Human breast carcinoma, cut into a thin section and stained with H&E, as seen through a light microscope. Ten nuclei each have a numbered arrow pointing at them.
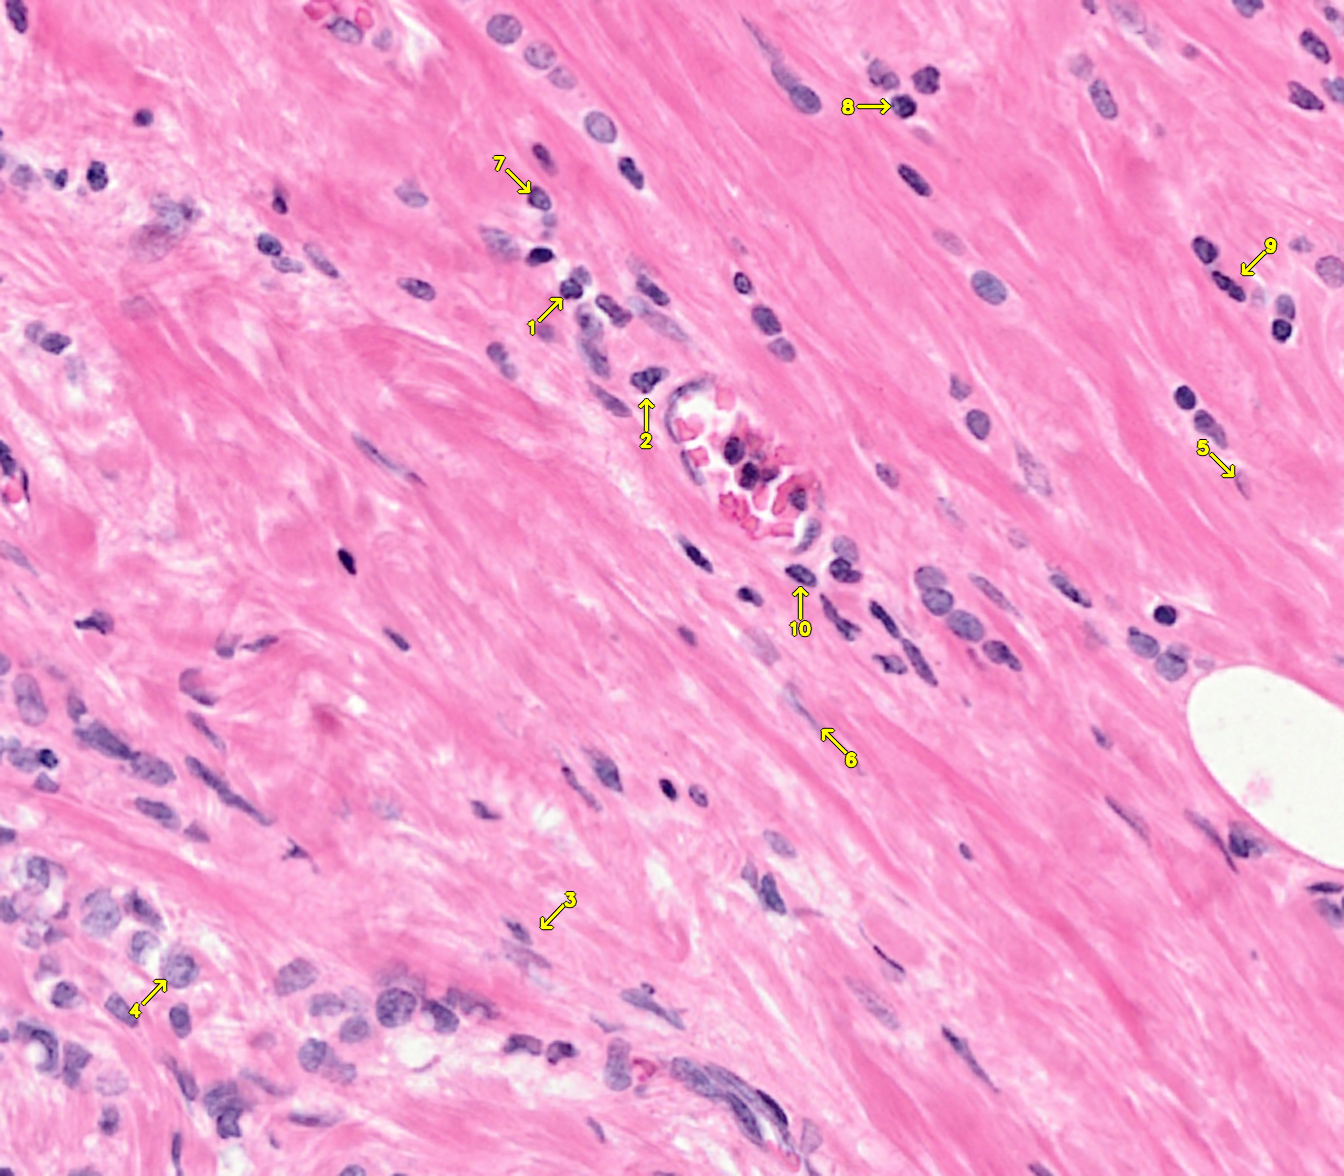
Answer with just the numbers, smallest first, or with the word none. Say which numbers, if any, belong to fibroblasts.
3, 5, 6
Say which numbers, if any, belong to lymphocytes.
1, 2, 7, 8, 9, 10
